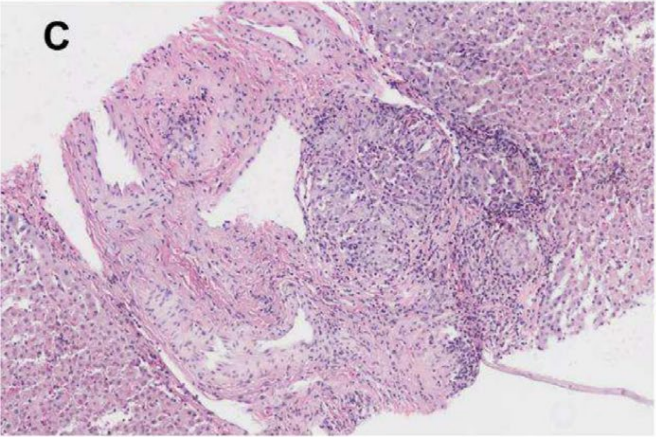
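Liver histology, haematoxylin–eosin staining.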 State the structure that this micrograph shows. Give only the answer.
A: epithelioid cell granulomas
